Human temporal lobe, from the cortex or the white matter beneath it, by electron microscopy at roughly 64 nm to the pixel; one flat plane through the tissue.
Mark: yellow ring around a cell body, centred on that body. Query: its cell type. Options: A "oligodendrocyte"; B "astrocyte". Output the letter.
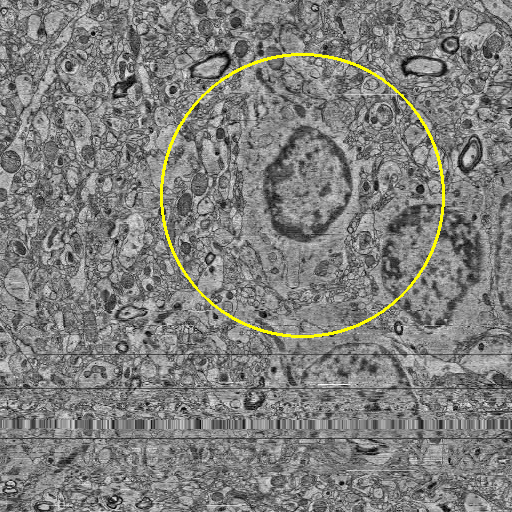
B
